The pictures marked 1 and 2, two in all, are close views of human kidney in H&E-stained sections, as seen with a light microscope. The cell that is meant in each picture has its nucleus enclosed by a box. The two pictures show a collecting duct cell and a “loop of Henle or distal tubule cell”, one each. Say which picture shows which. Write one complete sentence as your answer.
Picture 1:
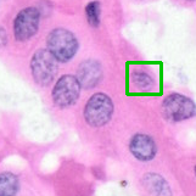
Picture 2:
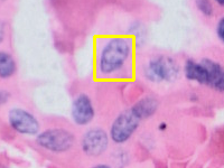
It is picture 1 that shows a “loop of Henle or distal tubule cell”, and picture 2 that shows a collecting duct cell.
